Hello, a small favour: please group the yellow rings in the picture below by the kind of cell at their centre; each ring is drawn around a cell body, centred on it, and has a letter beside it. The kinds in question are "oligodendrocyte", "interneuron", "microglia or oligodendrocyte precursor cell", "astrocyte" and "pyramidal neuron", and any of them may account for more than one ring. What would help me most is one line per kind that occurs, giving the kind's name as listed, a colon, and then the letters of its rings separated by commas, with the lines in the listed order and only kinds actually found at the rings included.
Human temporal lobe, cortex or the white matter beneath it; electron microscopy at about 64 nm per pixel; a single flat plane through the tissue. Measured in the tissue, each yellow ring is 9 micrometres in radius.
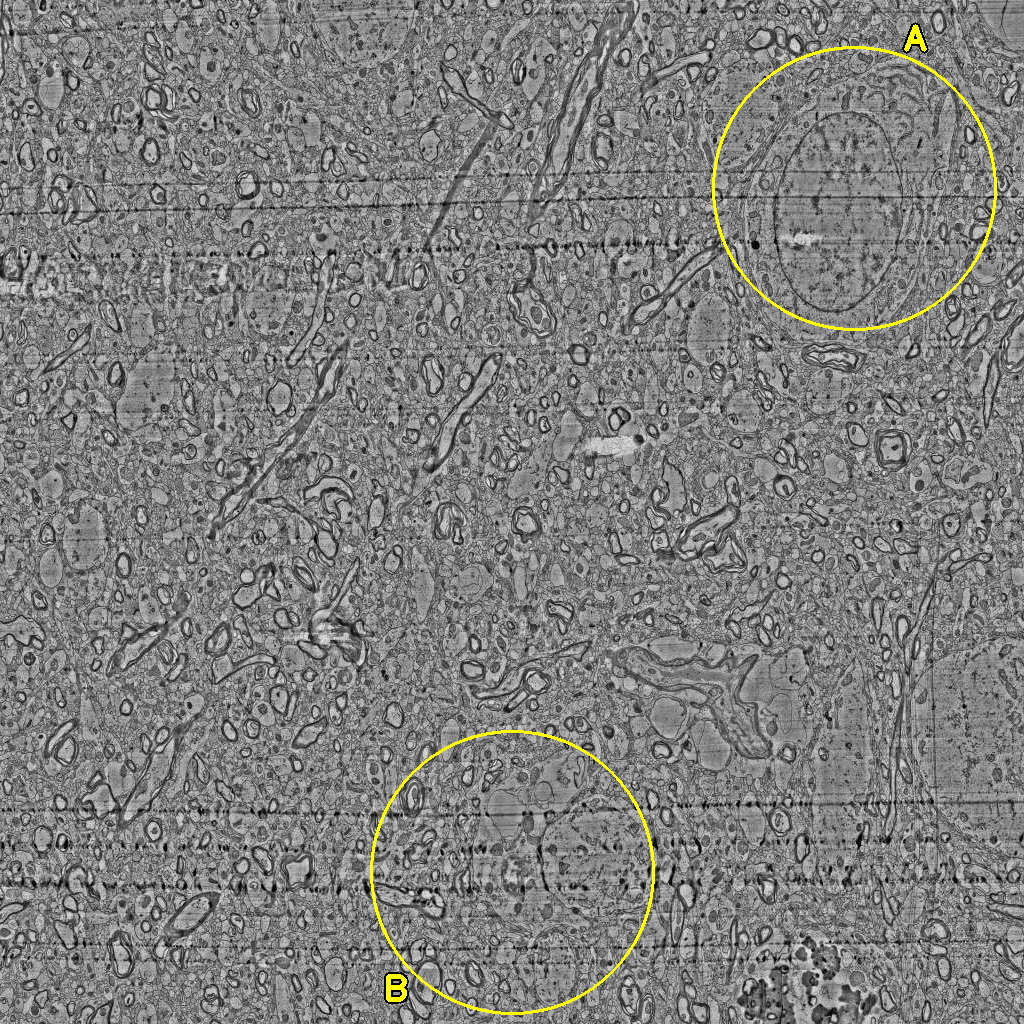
astrocyte: B
pyramidal neuron: A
